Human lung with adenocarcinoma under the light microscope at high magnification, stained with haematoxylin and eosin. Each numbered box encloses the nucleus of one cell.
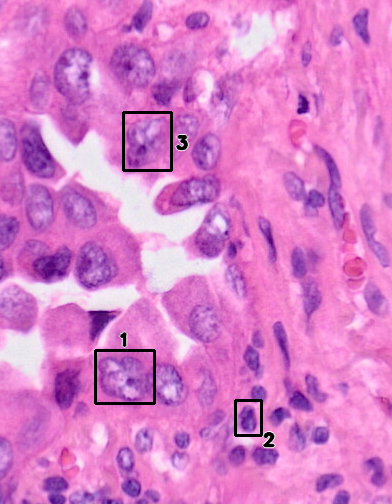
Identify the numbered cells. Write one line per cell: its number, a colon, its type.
1: carcinoma cell
2: lymphocyte
3: carcinoma cell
